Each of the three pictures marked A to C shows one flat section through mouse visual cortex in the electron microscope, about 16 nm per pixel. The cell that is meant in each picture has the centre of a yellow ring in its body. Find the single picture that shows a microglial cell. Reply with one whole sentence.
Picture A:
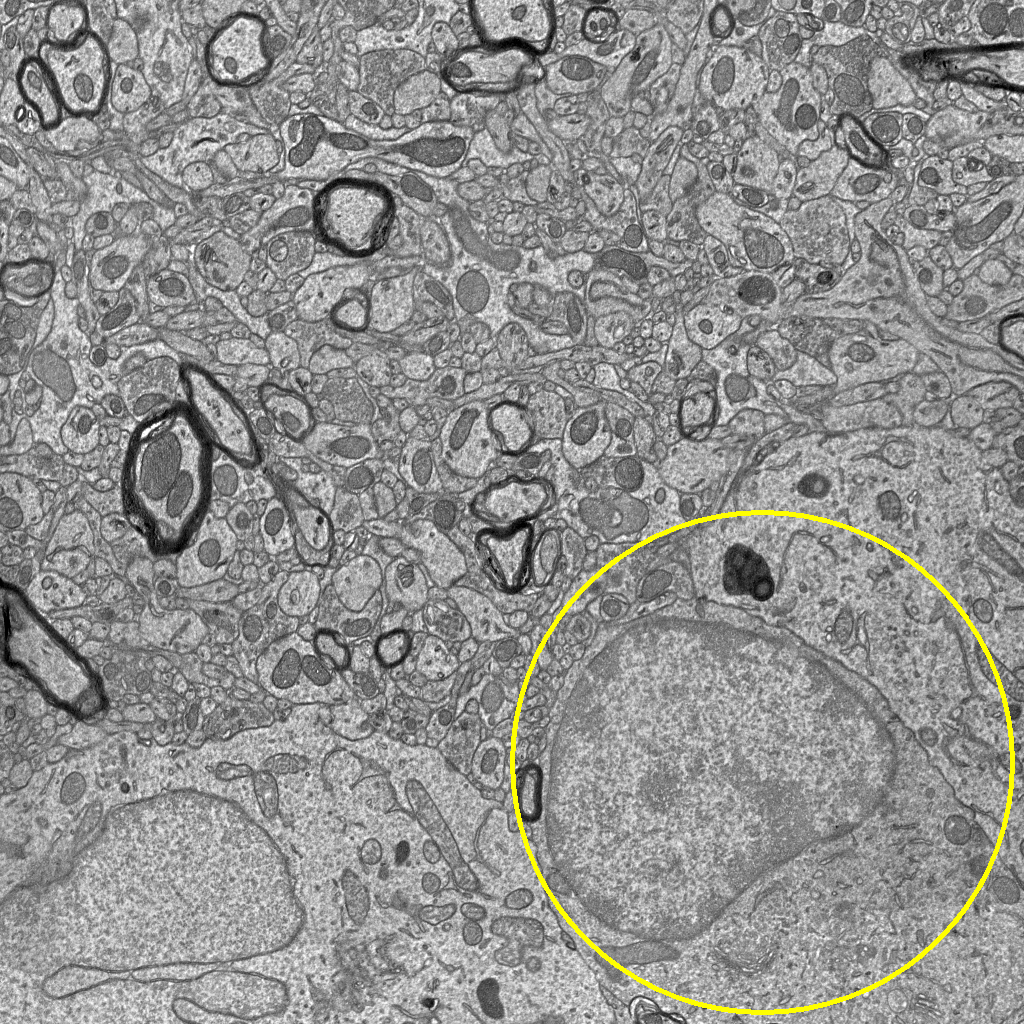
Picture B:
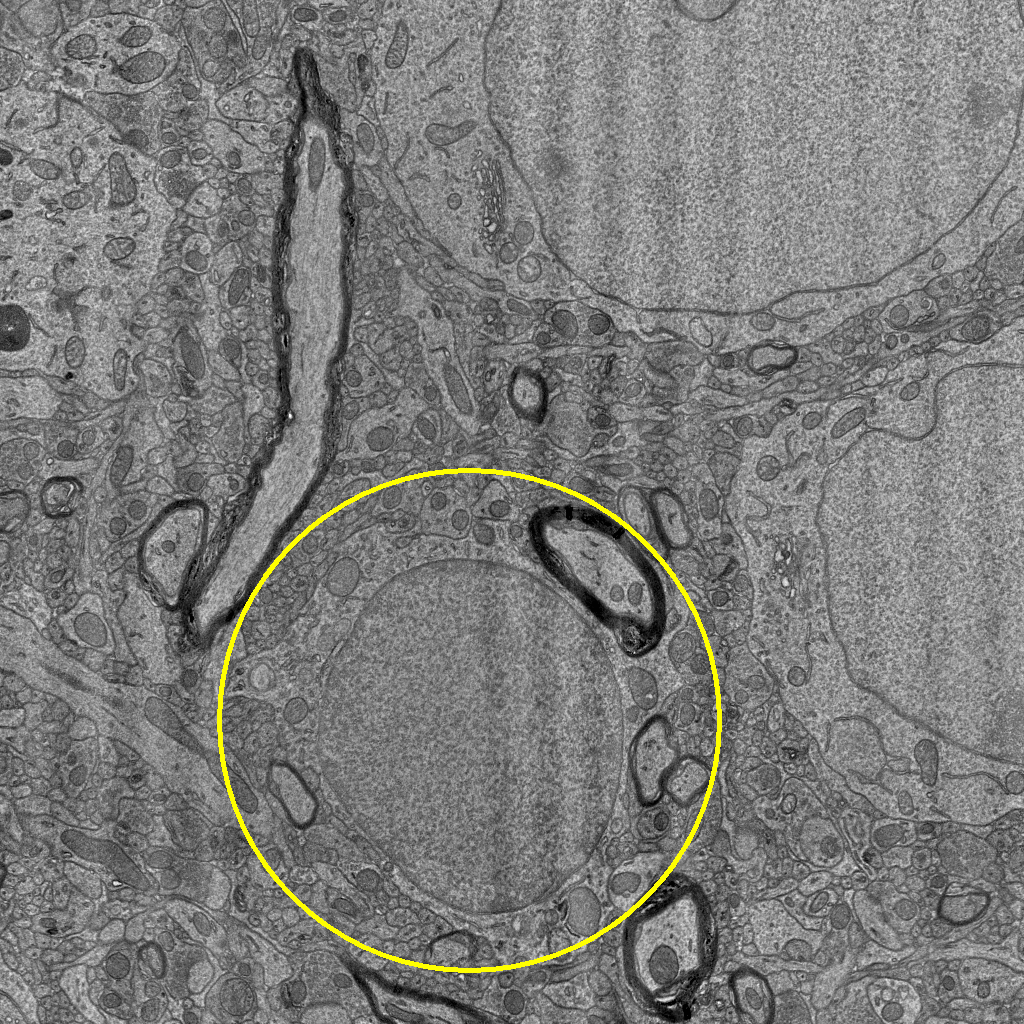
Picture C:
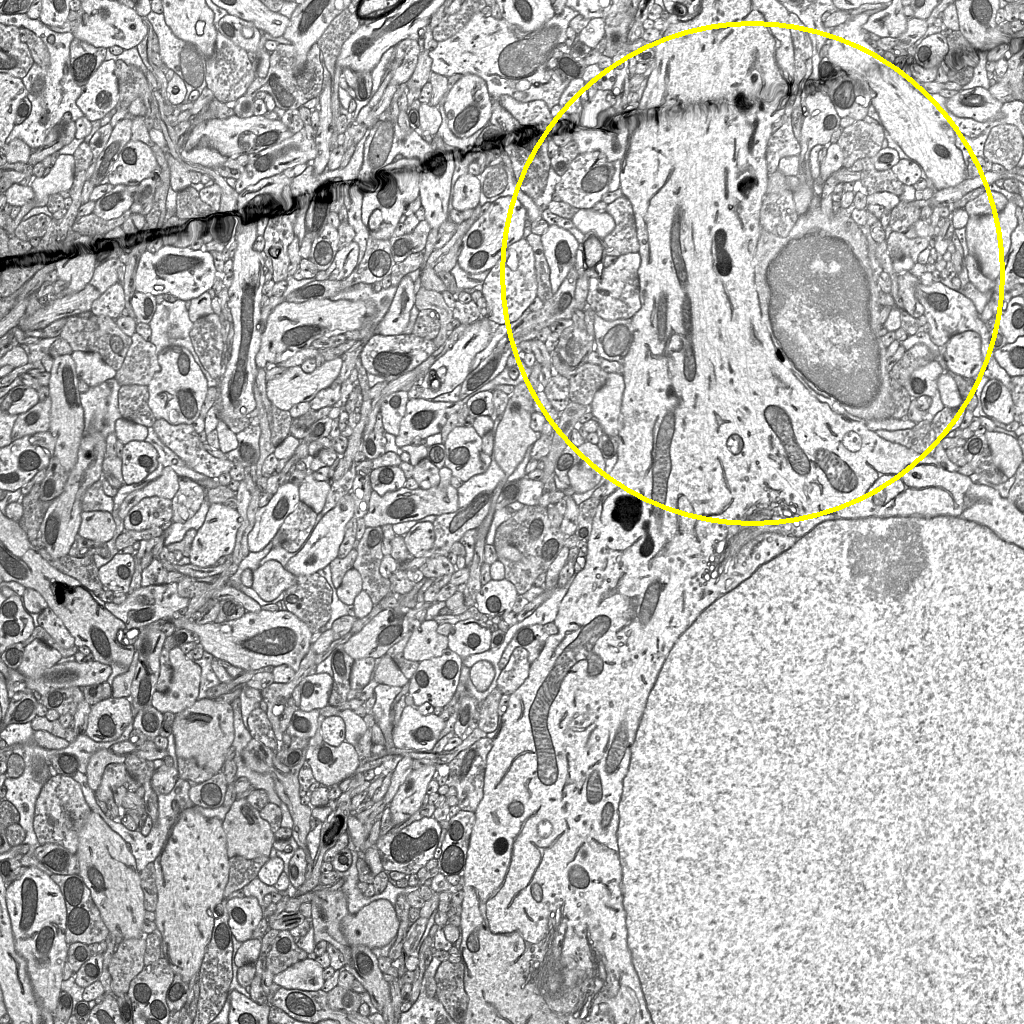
The picture with the microglial cell is C.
